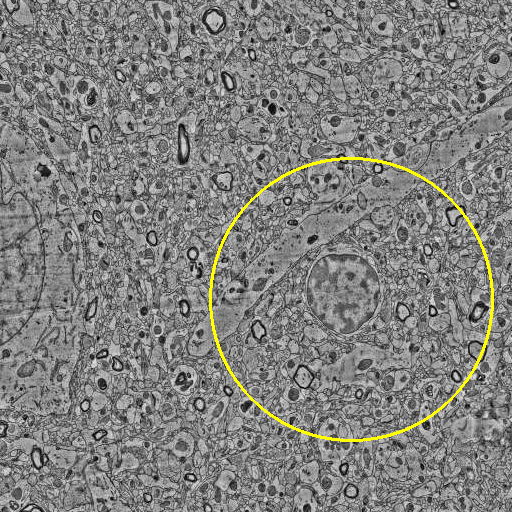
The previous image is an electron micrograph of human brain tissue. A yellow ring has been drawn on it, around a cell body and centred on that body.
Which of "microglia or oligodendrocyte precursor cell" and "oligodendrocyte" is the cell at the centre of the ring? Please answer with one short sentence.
The cell body at the centre of the ring belongs to a microglial cell or oligodendrocyte precursor cell.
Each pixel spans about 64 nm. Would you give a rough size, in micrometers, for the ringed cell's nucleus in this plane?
About 5 micrometres across in this plane.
